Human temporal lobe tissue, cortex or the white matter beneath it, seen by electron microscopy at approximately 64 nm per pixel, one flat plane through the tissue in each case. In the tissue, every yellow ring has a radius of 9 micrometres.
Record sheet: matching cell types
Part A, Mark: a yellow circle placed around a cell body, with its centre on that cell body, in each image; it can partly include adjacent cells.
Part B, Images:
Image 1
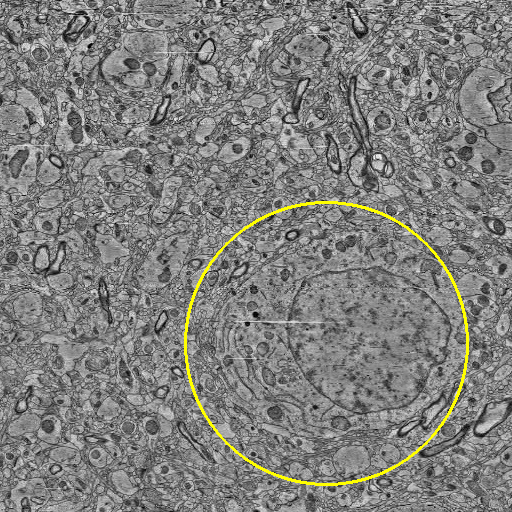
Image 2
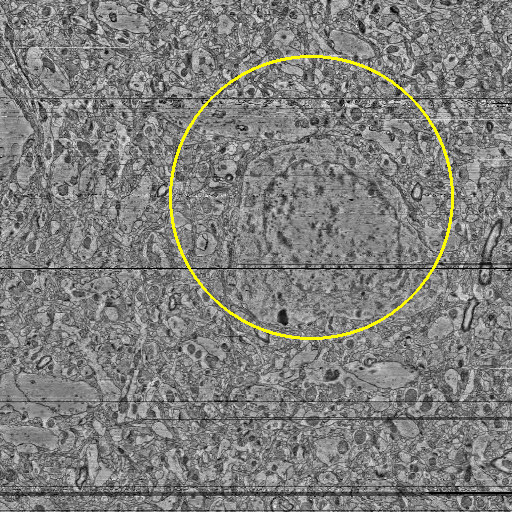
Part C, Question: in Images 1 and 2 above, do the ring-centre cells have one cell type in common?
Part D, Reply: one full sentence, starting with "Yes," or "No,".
Yes, the ring-centre cells of Image 1 and Image 2 are both of a single cell type.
